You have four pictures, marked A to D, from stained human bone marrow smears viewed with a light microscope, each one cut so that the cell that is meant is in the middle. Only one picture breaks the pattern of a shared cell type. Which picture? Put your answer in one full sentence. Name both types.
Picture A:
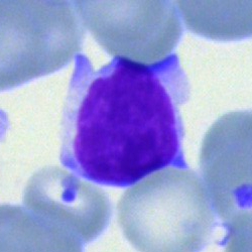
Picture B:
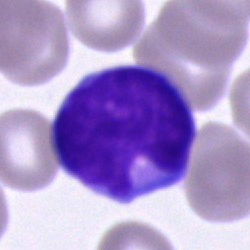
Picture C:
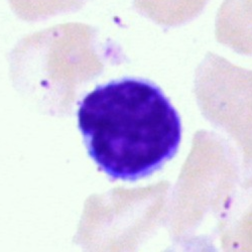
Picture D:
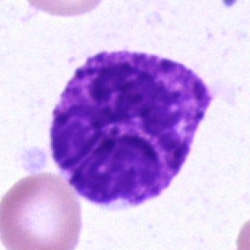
Unlike the rest, which show lymphocytes, picture D shows a basophil.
